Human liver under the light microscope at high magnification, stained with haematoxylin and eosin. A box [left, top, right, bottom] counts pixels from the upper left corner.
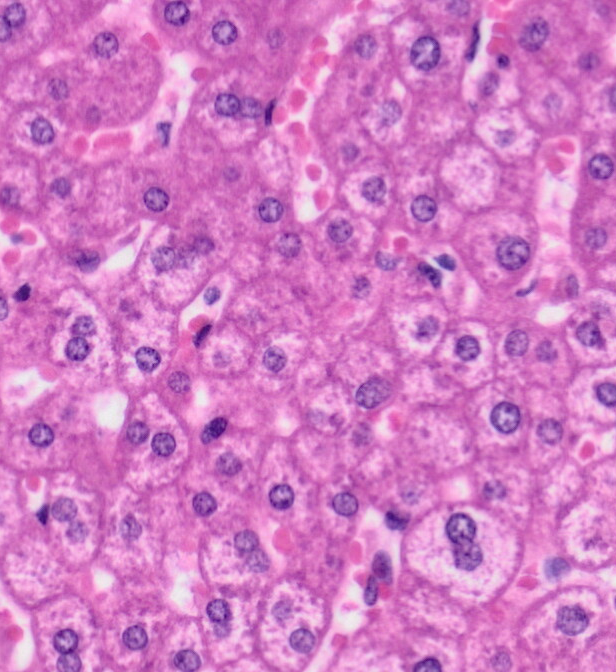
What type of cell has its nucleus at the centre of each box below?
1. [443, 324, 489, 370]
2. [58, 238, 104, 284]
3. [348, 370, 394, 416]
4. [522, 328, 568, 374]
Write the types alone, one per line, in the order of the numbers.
hepatocyte
Kupffer cell
hepatocyte
hepatocyte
